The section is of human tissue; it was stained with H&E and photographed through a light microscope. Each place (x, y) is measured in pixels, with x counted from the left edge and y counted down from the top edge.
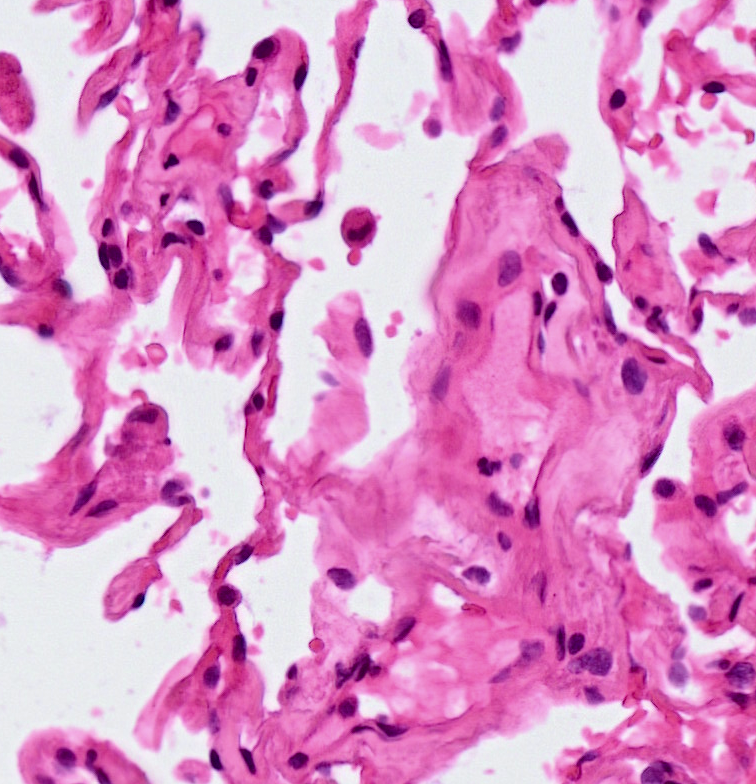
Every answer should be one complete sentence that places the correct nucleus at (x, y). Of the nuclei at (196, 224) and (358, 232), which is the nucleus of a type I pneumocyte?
Among the two nuclei, the one found at (196, 224) belongs to a type I pneumocyte.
